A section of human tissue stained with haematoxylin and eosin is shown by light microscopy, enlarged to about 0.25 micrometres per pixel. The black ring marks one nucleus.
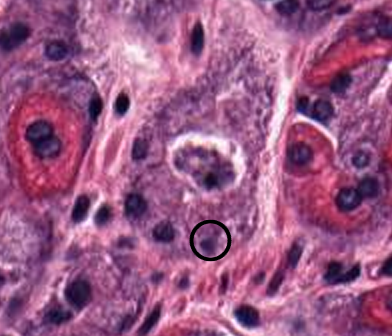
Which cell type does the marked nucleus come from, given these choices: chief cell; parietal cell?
chief cell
